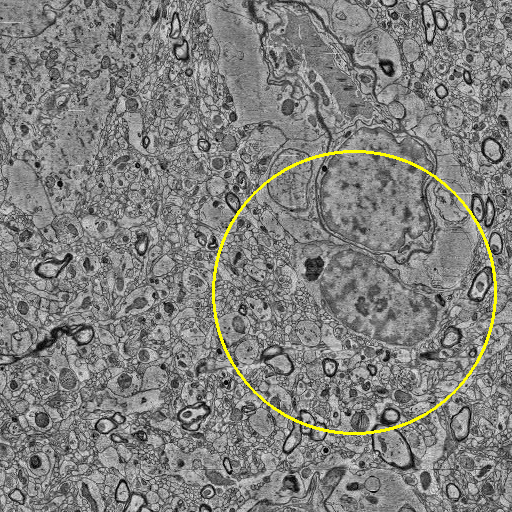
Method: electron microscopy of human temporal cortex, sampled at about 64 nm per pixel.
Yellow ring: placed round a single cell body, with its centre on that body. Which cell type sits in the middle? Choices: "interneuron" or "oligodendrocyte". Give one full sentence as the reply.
It is an oligodendrocyte whose cell body sits at the centre of the yellow ring.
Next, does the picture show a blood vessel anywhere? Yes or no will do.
Yes, one shows.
